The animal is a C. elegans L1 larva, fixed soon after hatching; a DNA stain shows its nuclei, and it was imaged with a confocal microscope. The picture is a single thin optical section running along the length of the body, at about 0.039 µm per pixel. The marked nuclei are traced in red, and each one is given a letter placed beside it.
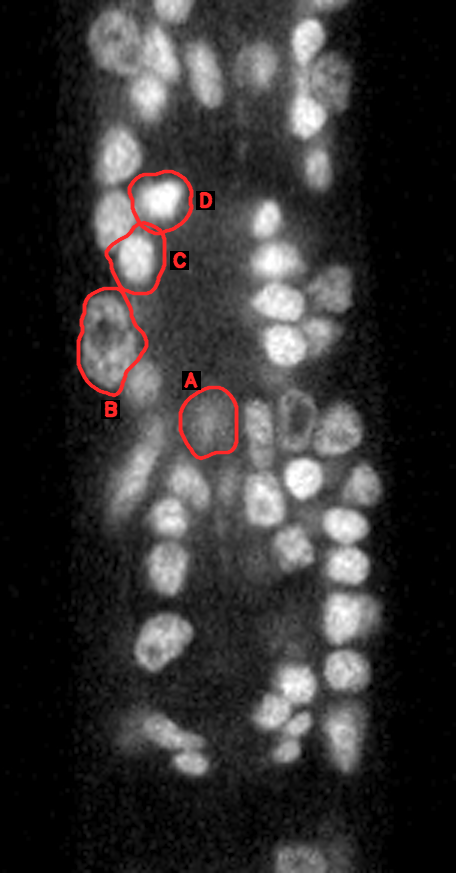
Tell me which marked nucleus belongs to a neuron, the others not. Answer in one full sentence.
The one from a neuron is C.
